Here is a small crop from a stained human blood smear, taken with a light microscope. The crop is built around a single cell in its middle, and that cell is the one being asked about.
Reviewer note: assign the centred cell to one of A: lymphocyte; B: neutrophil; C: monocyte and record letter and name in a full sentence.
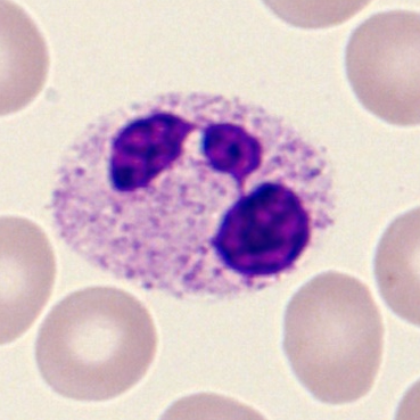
Option B gives the correct identity of the central cell, namely a neutrophil.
